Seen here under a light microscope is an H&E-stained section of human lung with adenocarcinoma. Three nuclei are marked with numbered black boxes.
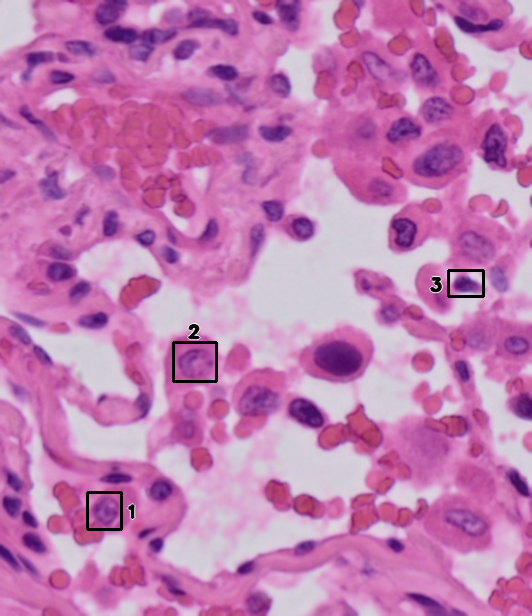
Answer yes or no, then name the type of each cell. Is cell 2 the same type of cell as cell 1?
Yes, both are macrophages or monocytes.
